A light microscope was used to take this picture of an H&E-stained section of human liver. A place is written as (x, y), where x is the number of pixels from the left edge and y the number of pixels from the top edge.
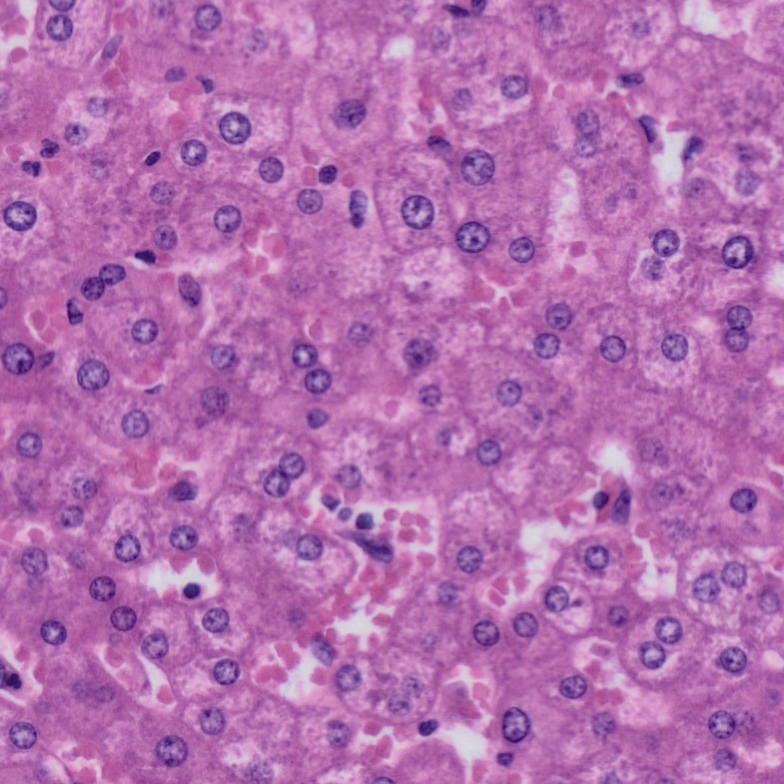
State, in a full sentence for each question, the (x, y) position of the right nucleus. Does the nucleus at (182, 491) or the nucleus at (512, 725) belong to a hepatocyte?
The nucleus lying at (512, 725) is the nucleus of a hepatocyte.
